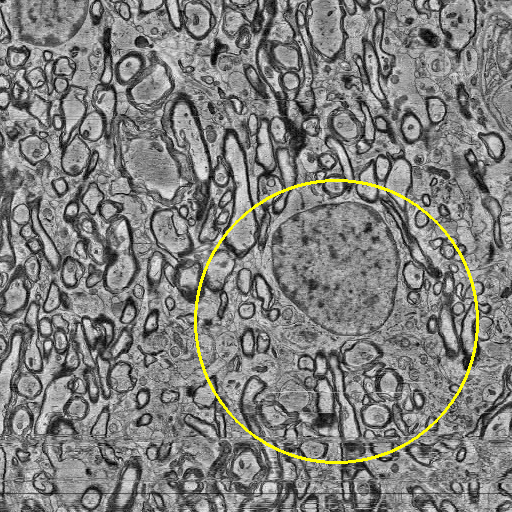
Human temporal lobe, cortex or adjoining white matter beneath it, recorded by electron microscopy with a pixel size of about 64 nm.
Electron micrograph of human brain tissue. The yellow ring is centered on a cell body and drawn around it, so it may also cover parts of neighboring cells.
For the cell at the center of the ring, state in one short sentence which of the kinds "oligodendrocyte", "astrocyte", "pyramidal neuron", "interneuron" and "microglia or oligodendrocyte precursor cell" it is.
This ring is centered on a microglial cell or oligodendrocyte precursor cell.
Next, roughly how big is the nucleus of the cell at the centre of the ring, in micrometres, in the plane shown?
About 9 by 8 micrometers, in this plane.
